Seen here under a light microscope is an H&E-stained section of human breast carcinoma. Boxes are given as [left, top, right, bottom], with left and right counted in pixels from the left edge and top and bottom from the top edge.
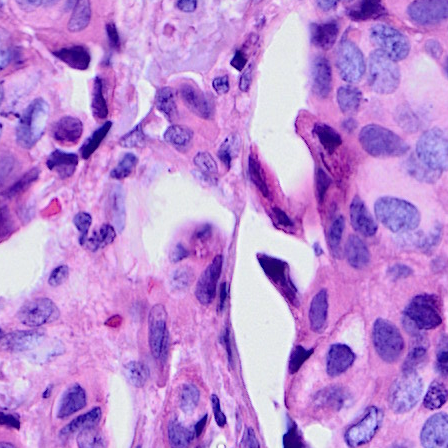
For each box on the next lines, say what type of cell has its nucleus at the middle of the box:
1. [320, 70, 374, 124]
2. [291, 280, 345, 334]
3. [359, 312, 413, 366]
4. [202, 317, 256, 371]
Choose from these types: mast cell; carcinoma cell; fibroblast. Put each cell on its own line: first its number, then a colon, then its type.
1: carcinoma cell
2: carcinoma cell
3: carcinoma cell
4: fibroblast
